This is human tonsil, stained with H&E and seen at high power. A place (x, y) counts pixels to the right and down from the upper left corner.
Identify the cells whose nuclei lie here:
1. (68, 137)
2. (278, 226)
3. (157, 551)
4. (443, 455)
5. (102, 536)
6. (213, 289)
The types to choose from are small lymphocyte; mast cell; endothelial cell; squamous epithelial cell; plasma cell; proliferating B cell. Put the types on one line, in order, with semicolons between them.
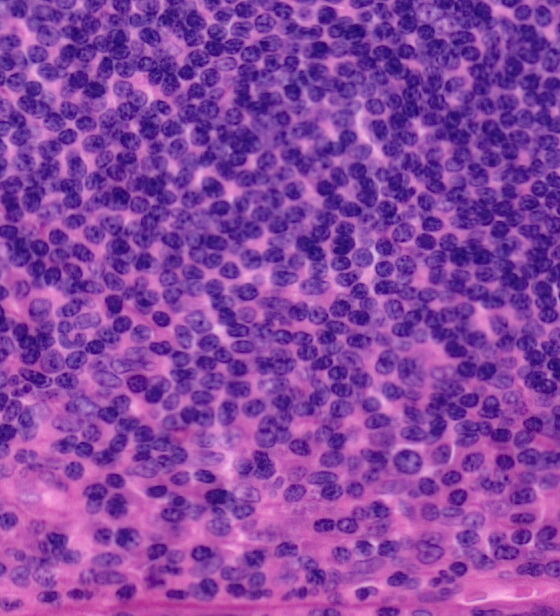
small lymphocyte; small lymphocyte; plasma cell; plasma cell; plasma cell; small lymphocyte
